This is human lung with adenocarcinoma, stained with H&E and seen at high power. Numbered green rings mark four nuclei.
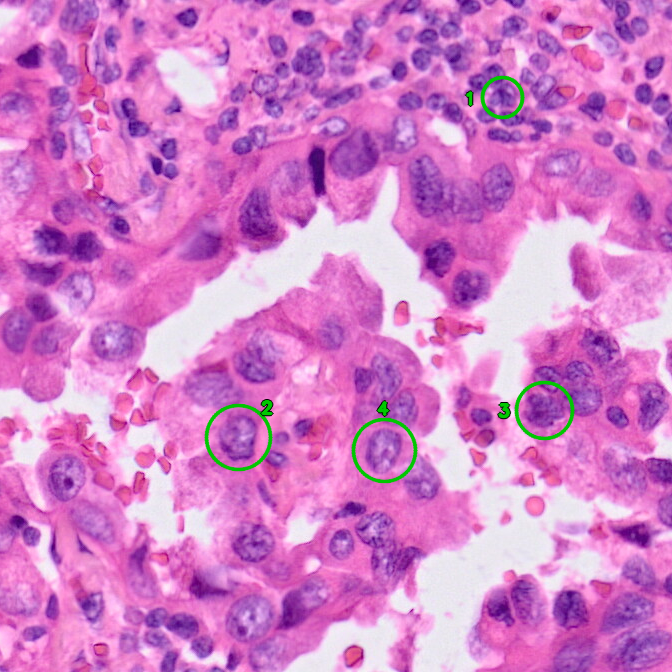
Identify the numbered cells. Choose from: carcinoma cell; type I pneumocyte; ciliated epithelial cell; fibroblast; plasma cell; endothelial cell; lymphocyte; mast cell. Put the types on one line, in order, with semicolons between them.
lymphocyte; carcinoma cell; carcinoma cell; carcinoma cell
